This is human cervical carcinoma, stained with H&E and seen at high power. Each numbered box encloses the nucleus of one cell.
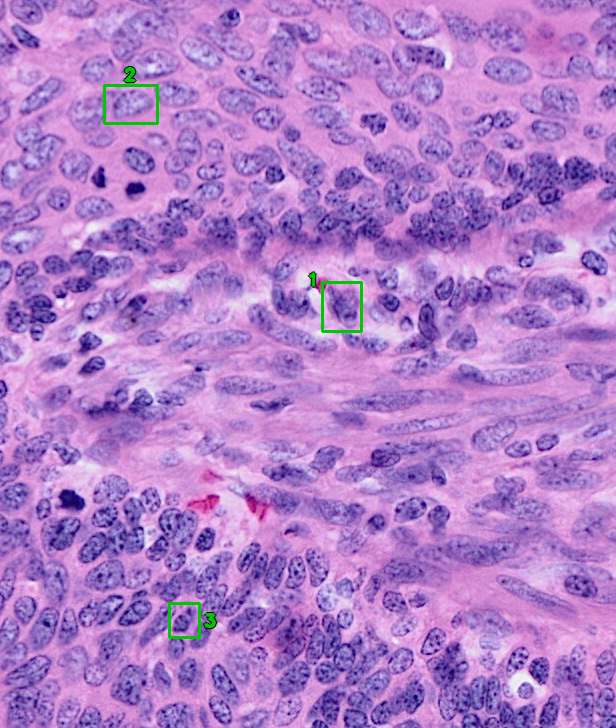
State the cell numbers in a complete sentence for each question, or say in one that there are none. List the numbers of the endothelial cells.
The cell labelled 1 is an endothelial cell, while the remaining numbered cells are not.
